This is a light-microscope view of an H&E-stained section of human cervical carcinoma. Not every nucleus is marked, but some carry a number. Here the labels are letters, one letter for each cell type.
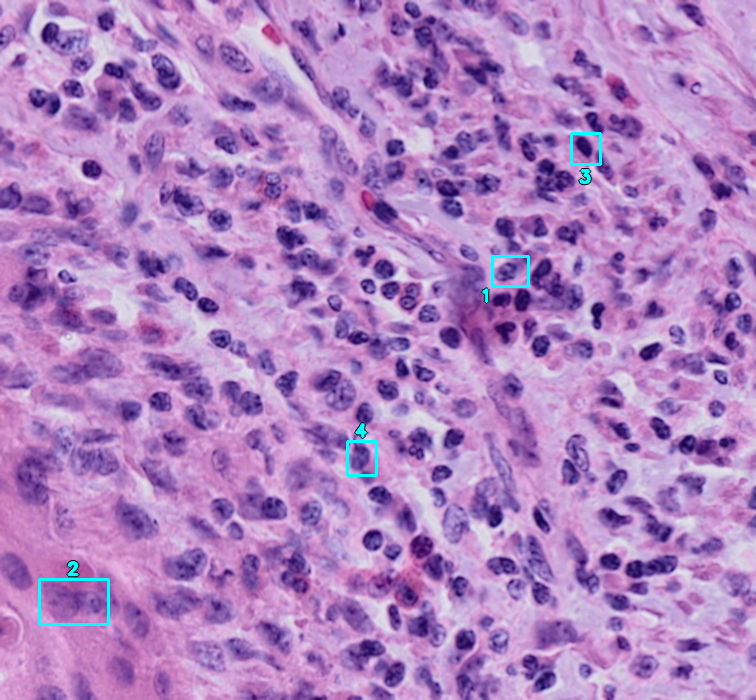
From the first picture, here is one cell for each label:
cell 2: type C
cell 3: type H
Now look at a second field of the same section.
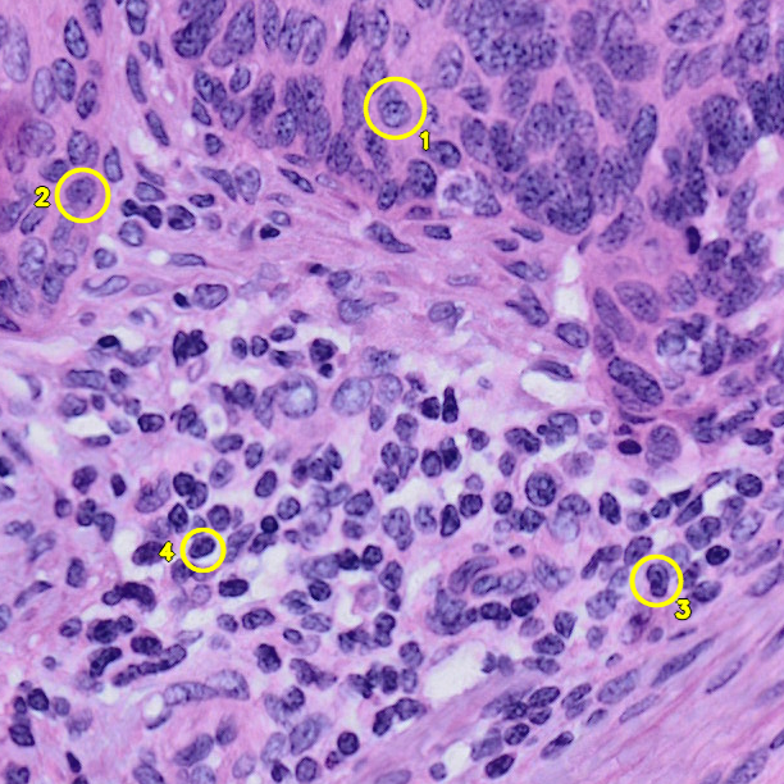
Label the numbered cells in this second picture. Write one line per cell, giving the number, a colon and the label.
1: type C
2: type C
3: type H
4: type H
